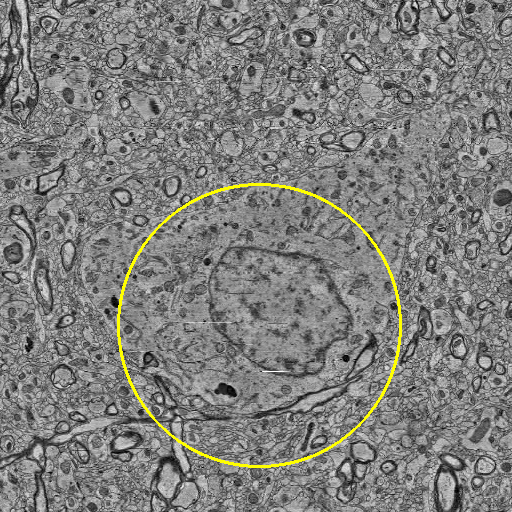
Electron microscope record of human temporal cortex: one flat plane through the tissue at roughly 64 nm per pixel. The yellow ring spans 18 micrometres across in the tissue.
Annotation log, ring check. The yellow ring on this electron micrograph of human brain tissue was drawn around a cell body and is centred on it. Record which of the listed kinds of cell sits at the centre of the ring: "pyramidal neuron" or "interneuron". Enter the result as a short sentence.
The cell at the centre of the ring is a pyramidal neuron.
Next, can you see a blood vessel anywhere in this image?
No, there is none.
